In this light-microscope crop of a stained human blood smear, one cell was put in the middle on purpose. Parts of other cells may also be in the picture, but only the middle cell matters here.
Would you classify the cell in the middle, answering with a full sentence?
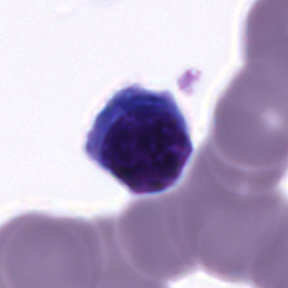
To answer, the cell in the center of the crop is a plasma cell.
